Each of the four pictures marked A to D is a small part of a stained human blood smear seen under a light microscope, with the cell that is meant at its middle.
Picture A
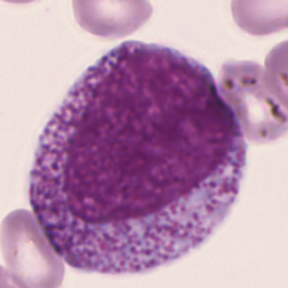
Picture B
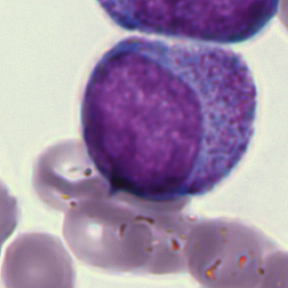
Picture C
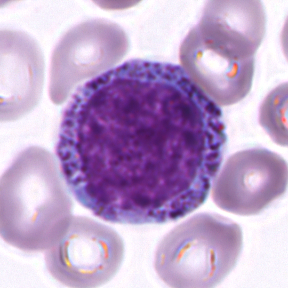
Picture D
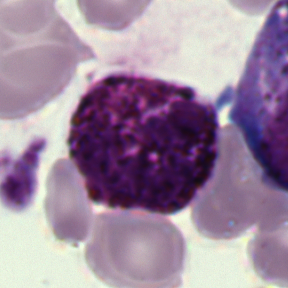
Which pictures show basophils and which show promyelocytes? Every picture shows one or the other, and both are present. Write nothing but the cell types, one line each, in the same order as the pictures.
promyelocyte
promyelocyte
promyelocyte
basophil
